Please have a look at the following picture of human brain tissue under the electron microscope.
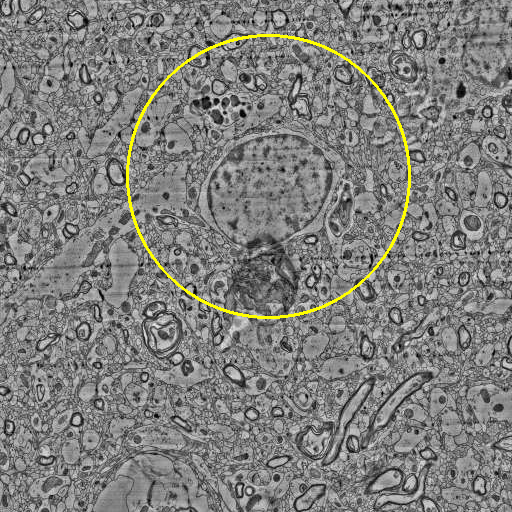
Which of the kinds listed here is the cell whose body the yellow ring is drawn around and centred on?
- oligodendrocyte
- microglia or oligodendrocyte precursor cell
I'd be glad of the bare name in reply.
microglia or oligodendrocyte precursor cell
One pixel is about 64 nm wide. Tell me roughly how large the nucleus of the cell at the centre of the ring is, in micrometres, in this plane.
The ringed cell's nucleus is about 8 micrometres long and 7 micrometres wide in this plane.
